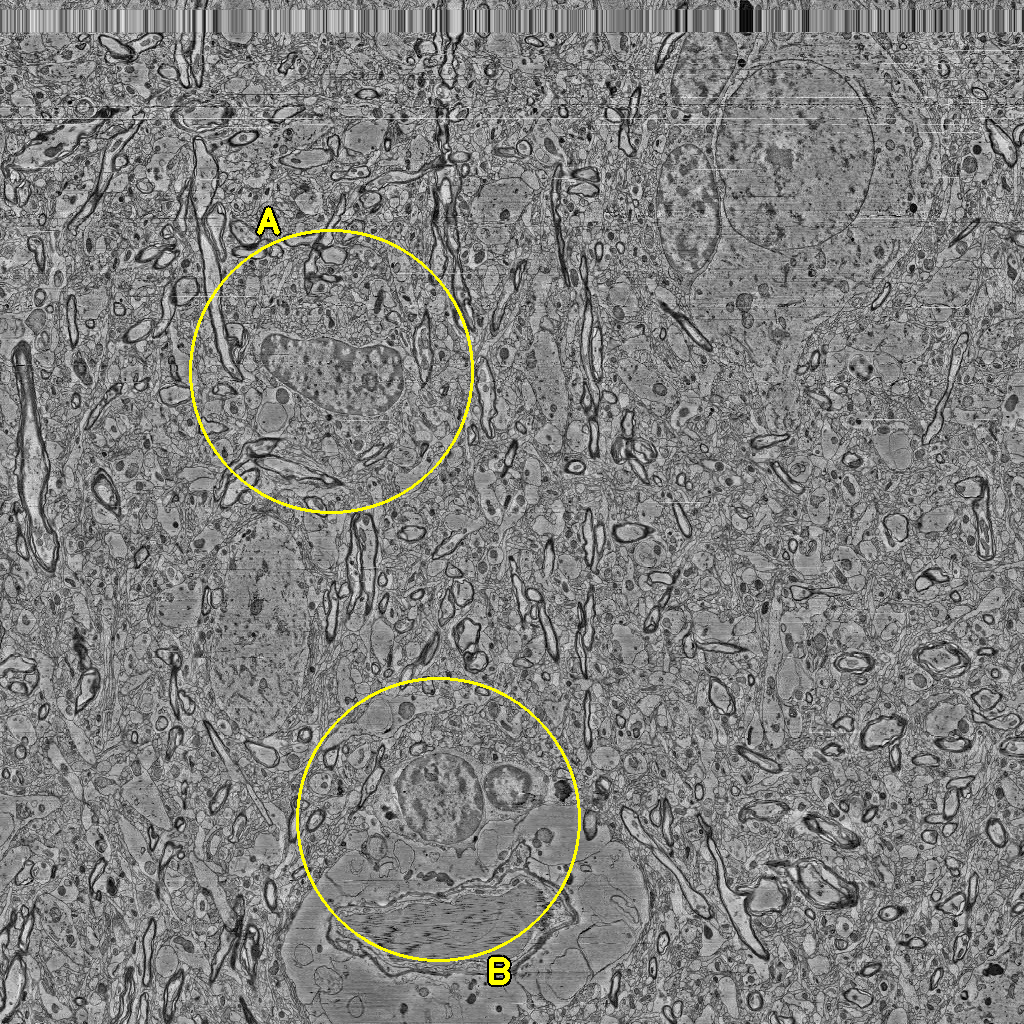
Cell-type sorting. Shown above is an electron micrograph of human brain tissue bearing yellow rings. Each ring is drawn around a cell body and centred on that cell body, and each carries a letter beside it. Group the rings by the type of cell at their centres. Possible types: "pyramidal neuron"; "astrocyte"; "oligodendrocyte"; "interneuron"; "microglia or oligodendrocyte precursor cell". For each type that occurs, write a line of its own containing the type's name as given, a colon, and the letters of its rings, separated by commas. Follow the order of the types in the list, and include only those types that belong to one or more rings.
oligodendrocyte: B
microglia or oligodendrocyte precursor cell: A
